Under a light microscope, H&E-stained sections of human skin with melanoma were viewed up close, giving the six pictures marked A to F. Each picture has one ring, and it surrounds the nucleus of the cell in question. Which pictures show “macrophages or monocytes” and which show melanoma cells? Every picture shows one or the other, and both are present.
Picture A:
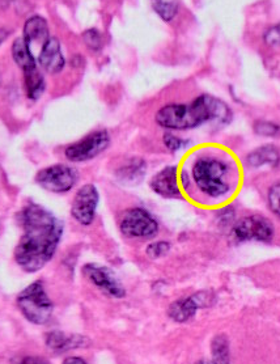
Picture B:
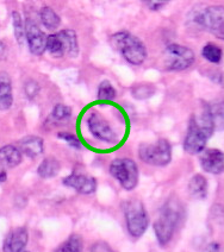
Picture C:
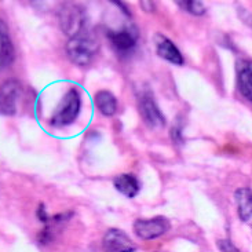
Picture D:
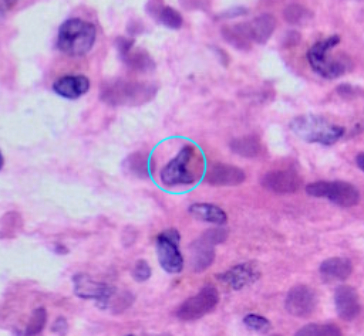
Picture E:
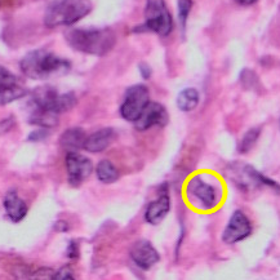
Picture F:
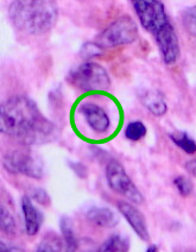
A: melanoma cell
B: melanoma cell
C: macrophage or monocyte
D: macrophage or monocyte
E: macrophage or monocyte
F: macrophage or monocyte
